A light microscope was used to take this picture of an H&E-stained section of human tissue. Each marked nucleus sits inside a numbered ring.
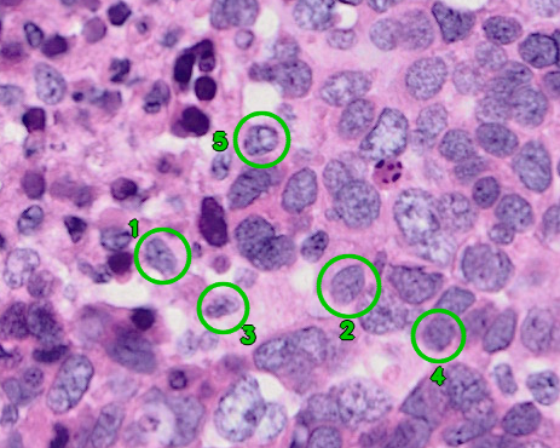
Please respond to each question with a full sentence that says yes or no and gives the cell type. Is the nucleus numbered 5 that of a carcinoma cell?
No, the cell given number 5 is a macrophage or monocyte, not a carcinoma cell.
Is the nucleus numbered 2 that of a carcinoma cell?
Yes, the cell pointed out as number 2 is a carcinoma cell.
